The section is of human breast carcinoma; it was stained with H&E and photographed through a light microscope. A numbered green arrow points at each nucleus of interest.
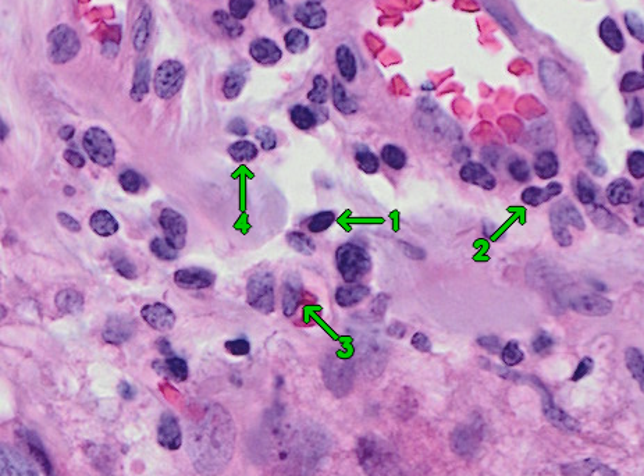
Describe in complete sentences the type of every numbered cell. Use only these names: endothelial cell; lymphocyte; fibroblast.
Cell 1 is a lymphocyte, cell 2 is a lymphocyte, cell 3 is an endothelial cell and cell 4 is a lymphocyte.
